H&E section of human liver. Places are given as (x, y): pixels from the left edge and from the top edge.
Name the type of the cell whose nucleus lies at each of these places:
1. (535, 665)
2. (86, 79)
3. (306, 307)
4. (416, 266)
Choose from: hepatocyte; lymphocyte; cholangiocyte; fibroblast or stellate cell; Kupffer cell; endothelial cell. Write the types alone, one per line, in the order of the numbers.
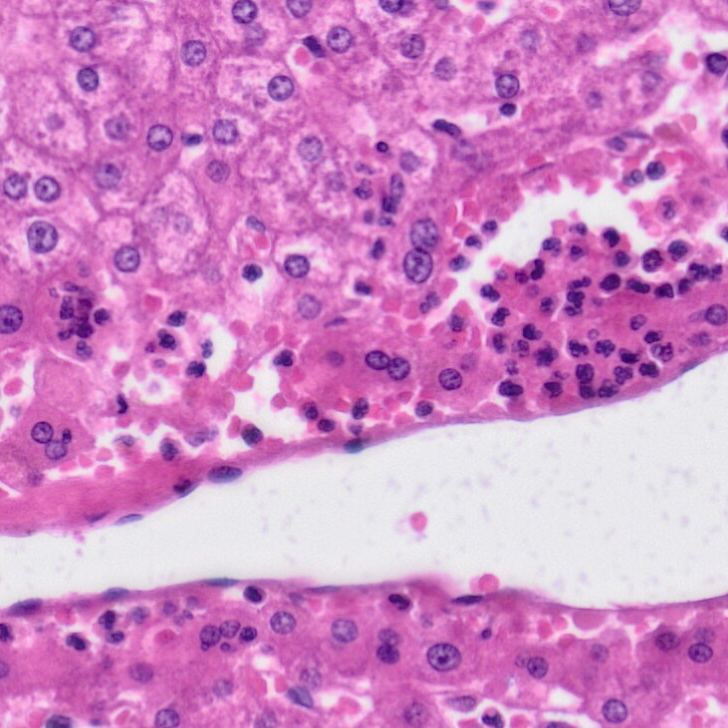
Kupffer cell
hepatocyte
hepatocyte
hepatocyte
